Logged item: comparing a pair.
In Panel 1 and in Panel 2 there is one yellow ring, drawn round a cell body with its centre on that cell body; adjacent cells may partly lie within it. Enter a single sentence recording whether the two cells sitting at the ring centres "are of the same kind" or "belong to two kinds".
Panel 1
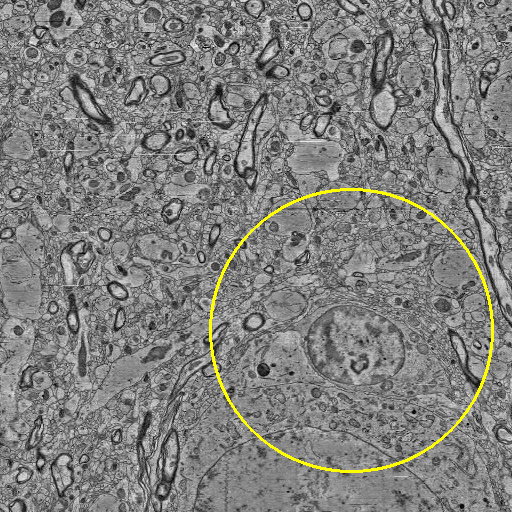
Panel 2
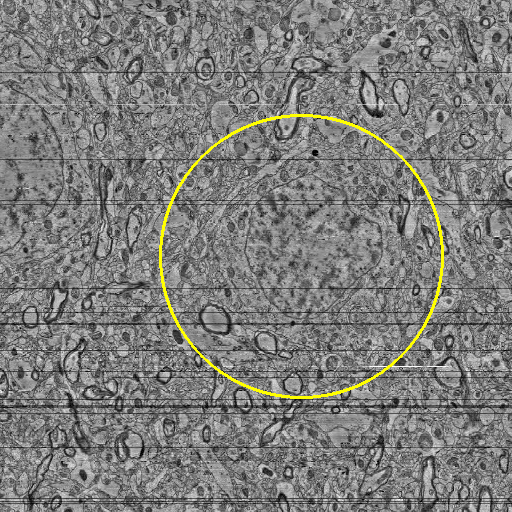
Logged: the cells centred in the rings of Panel 1 and Panel 2 belong to two kinds.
